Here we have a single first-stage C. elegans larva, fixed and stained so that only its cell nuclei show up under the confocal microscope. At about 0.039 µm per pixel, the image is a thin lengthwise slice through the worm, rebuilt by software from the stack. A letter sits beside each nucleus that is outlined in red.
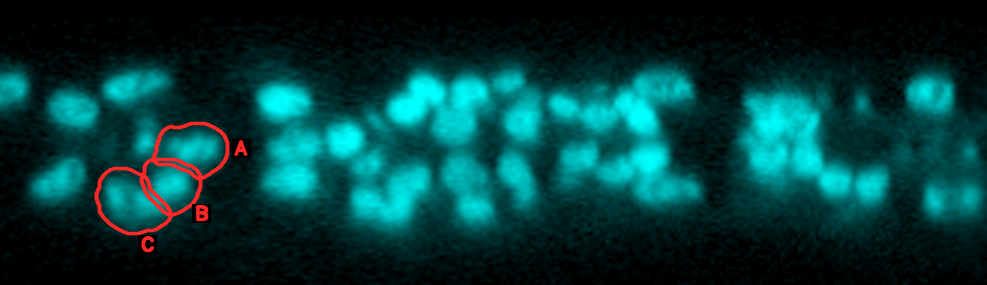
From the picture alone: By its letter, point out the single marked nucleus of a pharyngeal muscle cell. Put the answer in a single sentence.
The one from a pharyngeal muscle cell is A.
